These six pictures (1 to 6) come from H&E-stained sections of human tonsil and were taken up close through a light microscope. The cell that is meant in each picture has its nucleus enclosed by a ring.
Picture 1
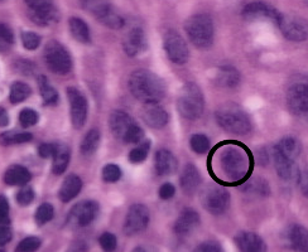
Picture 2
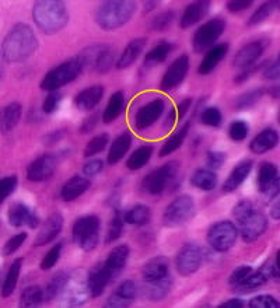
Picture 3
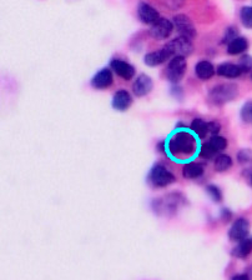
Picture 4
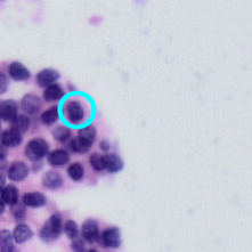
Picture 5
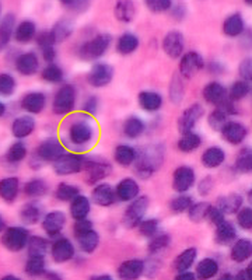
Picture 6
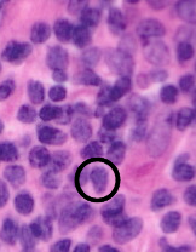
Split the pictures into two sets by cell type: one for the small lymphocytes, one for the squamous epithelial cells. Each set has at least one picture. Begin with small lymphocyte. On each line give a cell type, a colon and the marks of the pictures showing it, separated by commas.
small lymphocyte: 3, 4, 5, 6
squamous epithelial cell: 1, 2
